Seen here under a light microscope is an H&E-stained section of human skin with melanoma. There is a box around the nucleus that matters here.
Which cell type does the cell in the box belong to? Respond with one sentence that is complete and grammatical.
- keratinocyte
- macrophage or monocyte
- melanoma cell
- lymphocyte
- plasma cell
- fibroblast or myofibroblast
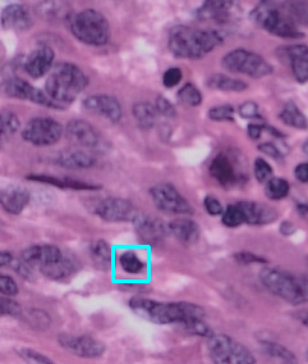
With respect to cell type, the cell in the box is a lymphocyte.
